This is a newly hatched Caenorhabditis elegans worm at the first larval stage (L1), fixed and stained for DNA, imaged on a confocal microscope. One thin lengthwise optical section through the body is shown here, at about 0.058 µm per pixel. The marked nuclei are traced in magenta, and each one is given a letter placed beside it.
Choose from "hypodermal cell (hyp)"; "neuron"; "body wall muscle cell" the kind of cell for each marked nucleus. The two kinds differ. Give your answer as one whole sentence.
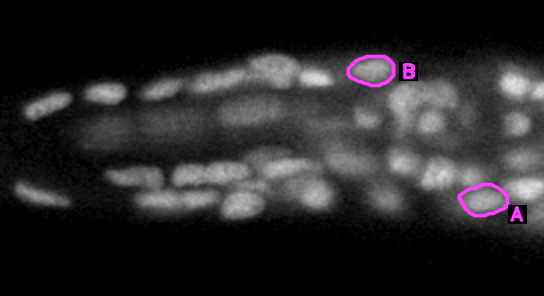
B belongs to a hypodermal cell (hyp), and A to a neuron.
